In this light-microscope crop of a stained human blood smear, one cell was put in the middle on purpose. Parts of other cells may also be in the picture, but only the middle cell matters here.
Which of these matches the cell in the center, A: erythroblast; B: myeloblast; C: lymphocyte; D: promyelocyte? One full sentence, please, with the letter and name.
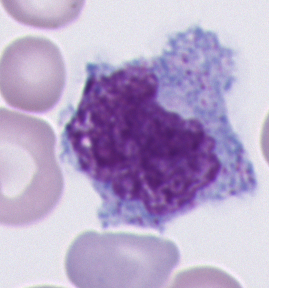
The expected answer is option D, the central cell being a promyelocyte.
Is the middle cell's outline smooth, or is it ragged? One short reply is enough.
The margin of this cell is irregular, showing raggedness or projections instead of smoothness.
